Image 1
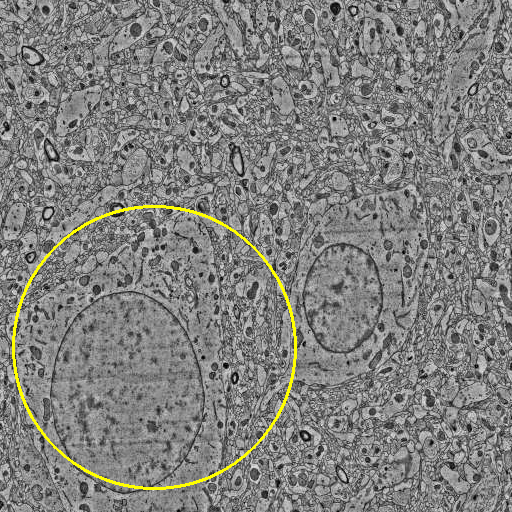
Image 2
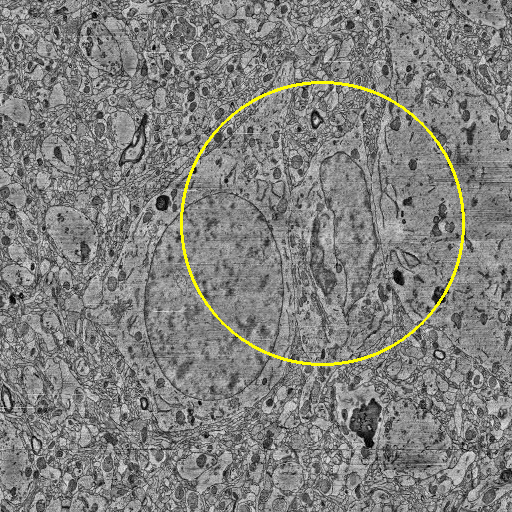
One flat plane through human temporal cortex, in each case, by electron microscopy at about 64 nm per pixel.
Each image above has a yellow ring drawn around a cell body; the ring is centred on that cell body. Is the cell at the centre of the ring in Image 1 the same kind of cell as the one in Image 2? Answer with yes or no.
no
